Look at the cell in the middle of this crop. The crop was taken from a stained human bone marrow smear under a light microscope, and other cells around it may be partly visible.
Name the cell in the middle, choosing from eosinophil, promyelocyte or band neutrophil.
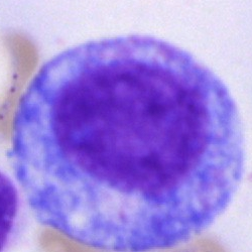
promyelocyte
